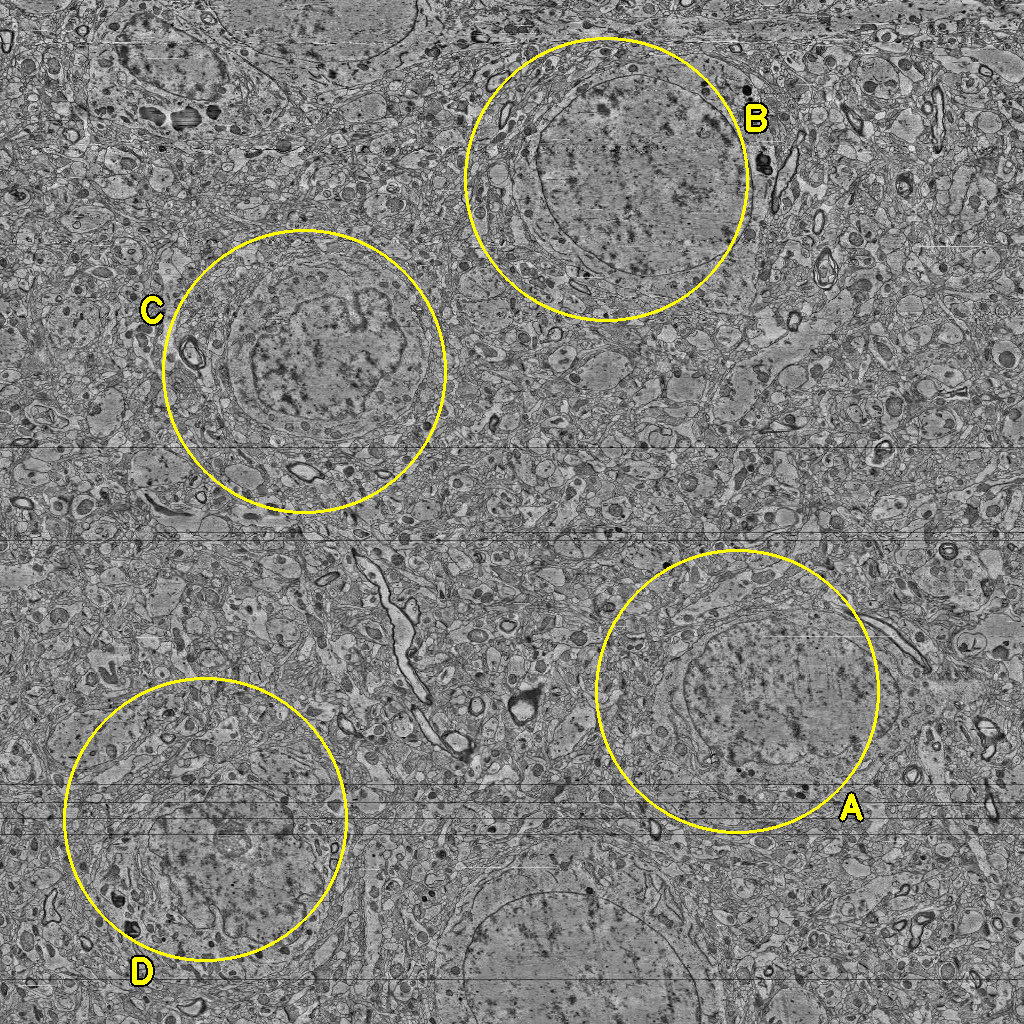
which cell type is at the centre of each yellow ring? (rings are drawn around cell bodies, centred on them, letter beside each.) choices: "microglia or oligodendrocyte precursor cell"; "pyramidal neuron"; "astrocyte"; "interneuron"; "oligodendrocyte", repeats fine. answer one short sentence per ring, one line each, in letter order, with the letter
Ring A is an interneuron.
Ring B is a pyramidal neuron.
Ring C is an interneuron.
Ring D is an interneuron.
